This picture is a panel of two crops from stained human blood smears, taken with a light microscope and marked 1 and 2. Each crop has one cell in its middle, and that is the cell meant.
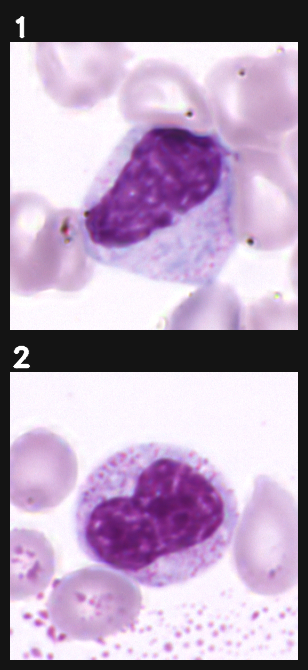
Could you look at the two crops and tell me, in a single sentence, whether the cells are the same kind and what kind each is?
Yes, the first and the second crop both show metamyelocytes.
